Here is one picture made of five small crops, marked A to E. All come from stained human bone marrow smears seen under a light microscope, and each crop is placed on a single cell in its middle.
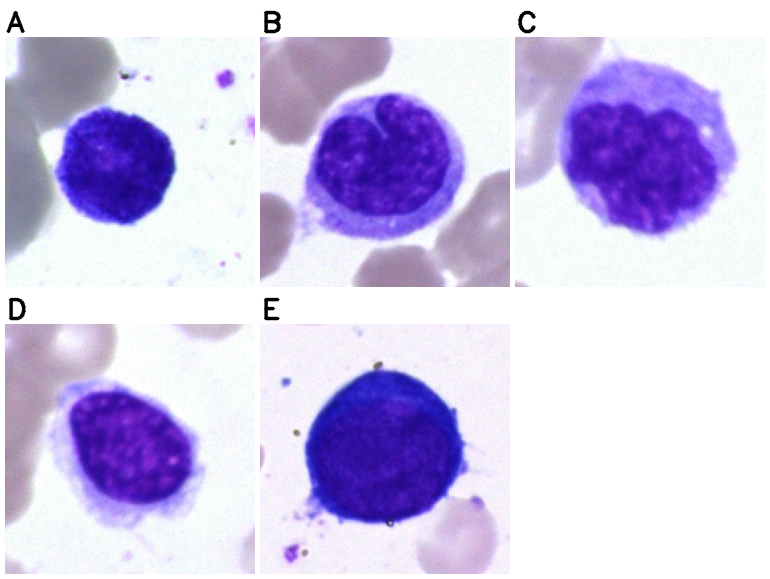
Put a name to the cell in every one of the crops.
A: lymphocyte
B: monocyte
C: monocyte
D: hairy cell
E: proerythroblast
